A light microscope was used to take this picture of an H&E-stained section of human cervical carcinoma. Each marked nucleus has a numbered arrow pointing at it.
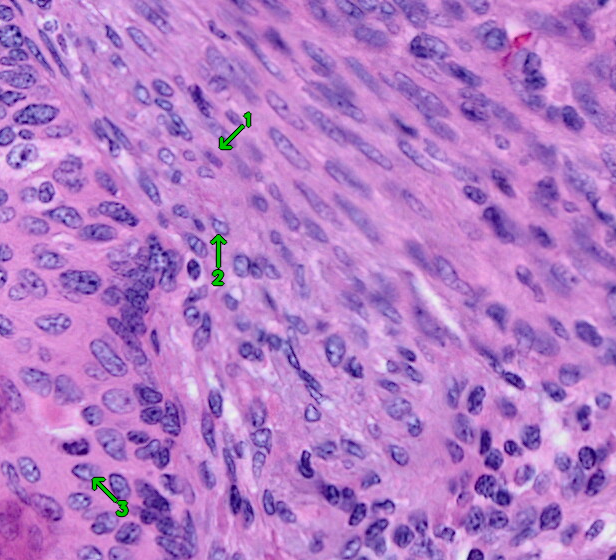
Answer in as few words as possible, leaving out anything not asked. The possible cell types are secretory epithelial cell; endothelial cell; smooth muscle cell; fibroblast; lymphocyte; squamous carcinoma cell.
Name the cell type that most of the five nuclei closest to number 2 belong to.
fibroblast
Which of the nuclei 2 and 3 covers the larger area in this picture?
3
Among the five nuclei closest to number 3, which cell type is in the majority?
squamous carcinoma cell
